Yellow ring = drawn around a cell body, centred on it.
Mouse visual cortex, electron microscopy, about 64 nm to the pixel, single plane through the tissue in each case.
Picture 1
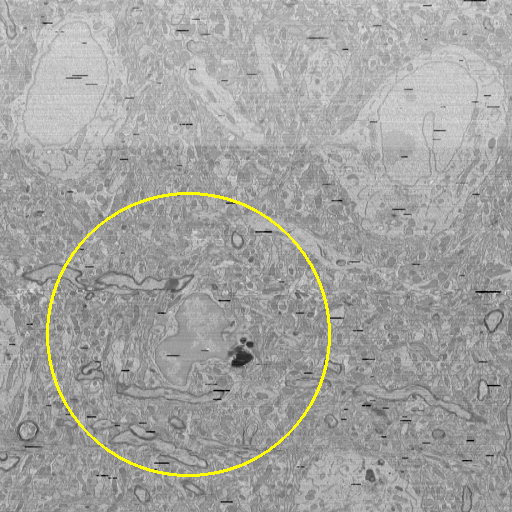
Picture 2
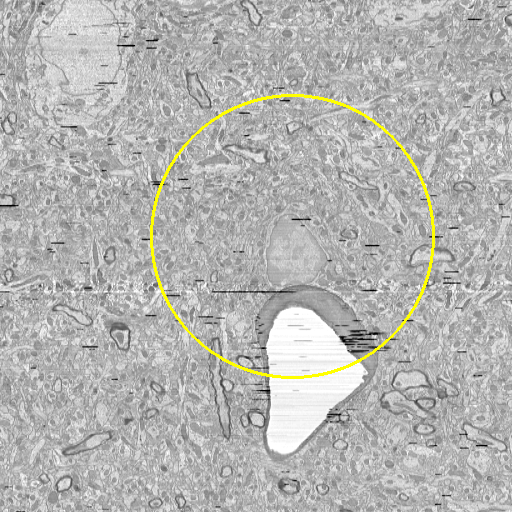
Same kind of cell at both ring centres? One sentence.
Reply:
Yes, they are the same kind of cell.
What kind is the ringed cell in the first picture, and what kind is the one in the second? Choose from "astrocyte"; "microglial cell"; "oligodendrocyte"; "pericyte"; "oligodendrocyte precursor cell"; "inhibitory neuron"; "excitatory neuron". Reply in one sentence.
The ring centre holds a microglial cell in each of the two pictures.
